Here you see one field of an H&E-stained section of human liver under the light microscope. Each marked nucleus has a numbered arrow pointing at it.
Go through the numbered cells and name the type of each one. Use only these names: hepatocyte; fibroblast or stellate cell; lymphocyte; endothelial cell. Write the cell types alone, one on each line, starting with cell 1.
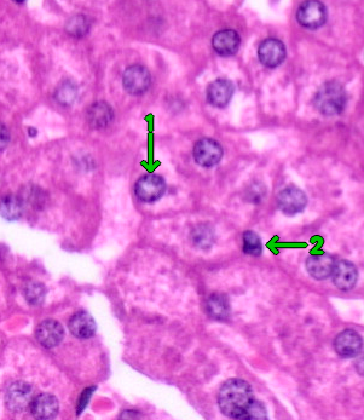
hepatocyte
endothelial cell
